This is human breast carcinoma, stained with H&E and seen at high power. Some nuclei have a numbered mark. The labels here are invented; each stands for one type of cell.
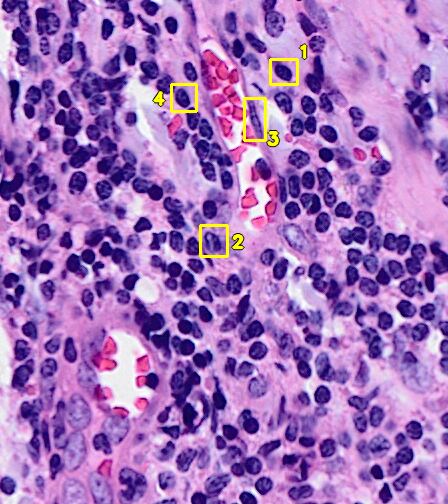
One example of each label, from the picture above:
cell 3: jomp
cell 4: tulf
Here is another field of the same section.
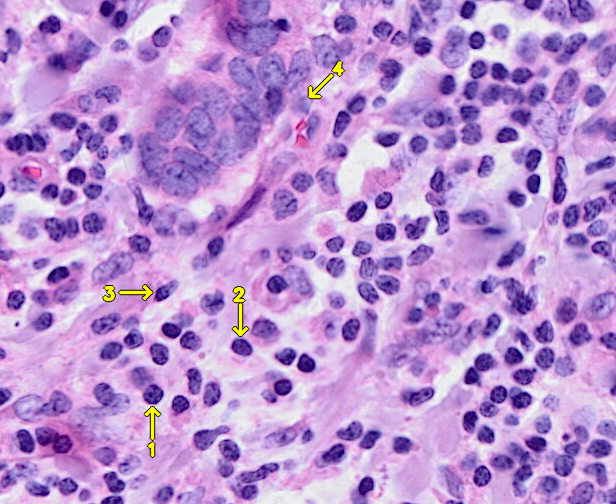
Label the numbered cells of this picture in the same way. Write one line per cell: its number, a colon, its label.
1: tulf
2: tulf
3: tulf
4: jomp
